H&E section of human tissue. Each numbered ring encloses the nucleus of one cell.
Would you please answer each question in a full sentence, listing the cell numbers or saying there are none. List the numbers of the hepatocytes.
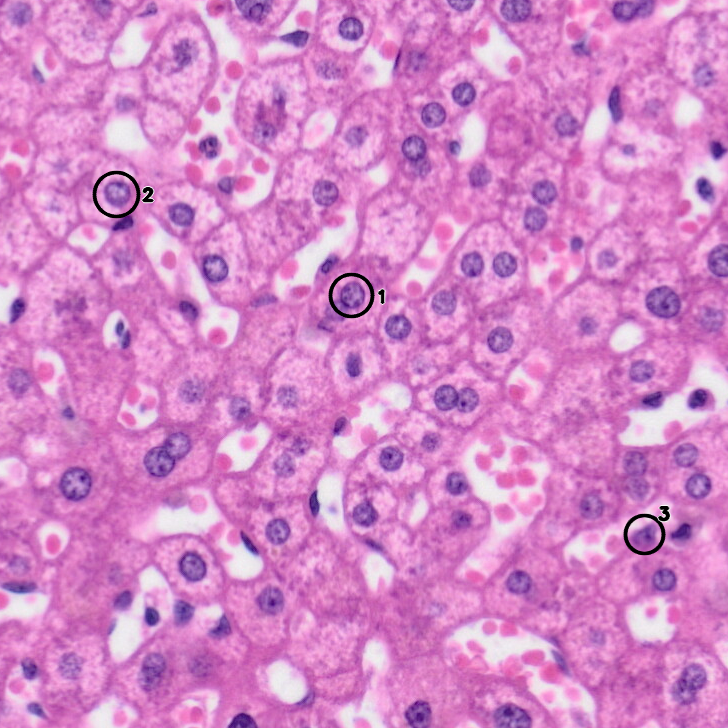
Cells that were given the numbers 1 and 2 are hepatocytes.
